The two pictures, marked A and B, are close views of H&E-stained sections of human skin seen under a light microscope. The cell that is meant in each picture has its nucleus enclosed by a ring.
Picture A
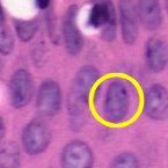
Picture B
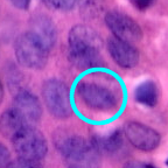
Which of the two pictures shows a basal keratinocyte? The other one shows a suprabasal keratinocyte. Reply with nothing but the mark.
B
